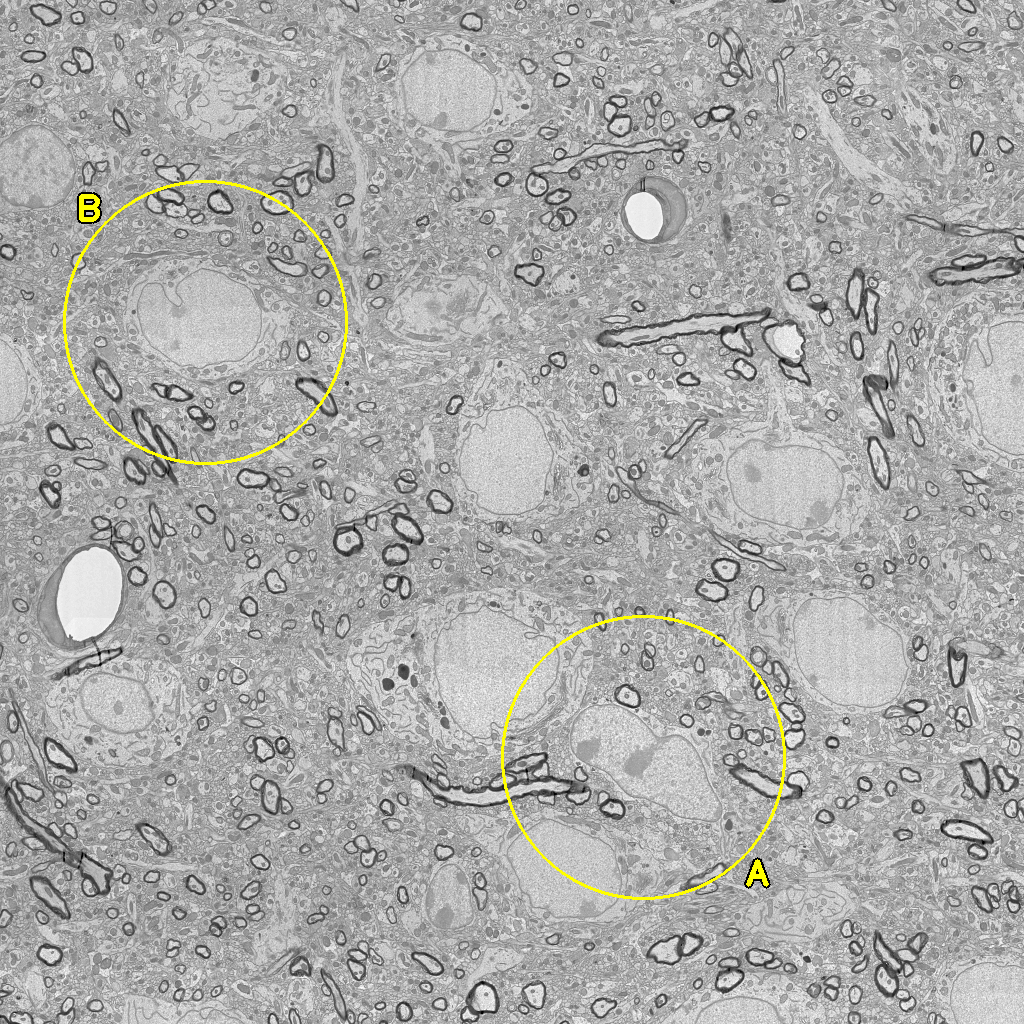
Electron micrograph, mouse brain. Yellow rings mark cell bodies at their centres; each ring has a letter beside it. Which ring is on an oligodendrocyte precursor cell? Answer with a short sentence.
Ring A is centred on it.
